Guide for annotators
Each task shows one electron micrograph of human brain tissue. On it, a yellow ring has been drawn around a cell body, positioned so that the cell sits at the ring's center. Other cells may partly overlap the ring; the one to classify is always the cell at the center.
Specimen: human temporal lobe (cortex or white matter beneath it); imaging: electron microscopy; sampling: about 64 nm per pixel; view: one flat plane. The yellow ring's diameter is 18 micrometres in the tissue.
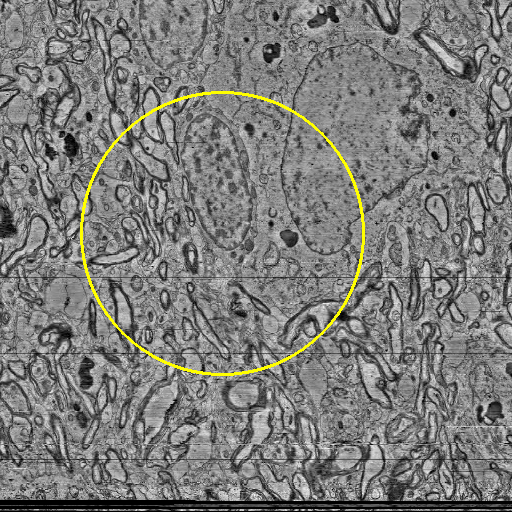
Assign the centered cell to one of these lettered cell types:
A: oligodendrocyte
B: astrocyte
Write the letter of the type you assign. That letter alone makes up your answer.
A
